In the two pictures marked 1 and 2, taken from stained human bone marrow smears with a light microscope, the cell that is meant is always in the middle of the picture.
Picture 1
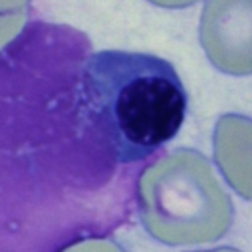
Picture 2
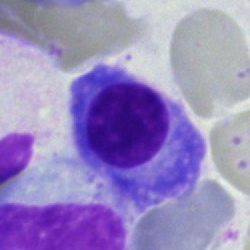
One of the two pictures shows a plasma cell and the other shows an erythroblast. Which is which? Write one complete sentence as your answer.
Picture 2 shows a plasma cell, while picture 1 shows an erythroblast.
